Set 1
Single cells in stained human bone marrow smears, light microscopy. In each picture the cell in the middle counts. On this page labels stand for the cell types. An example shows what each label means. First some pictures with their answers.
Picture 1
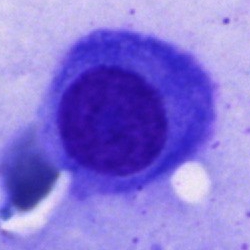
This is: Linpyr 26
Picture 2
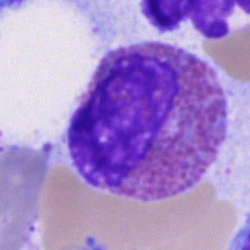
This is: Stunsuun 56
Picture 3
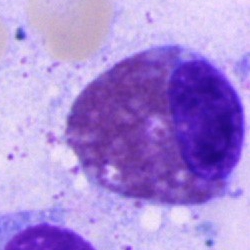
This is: Stunsuun 56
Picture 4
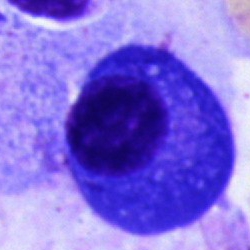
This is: Linpyr 26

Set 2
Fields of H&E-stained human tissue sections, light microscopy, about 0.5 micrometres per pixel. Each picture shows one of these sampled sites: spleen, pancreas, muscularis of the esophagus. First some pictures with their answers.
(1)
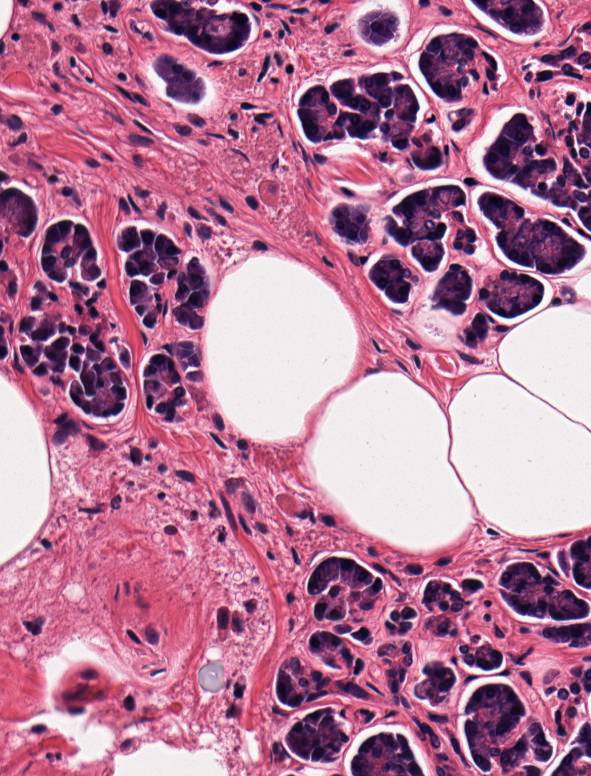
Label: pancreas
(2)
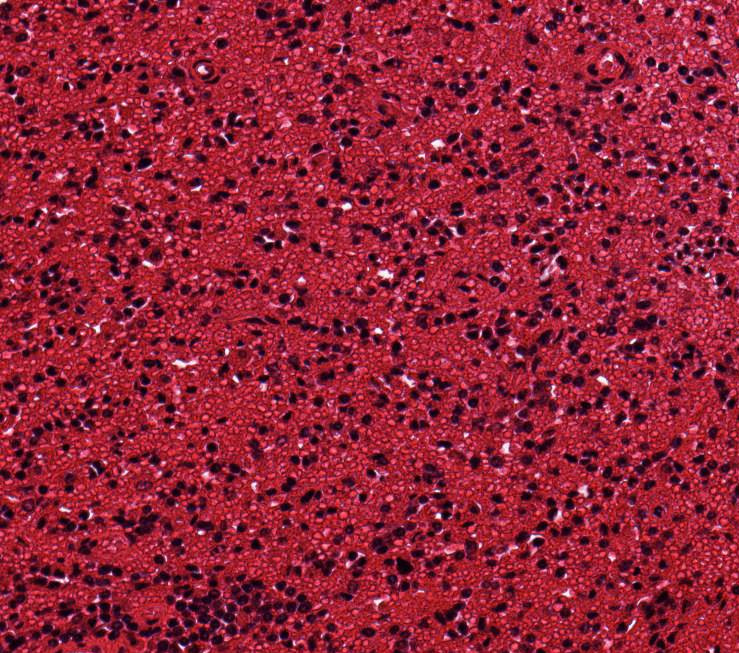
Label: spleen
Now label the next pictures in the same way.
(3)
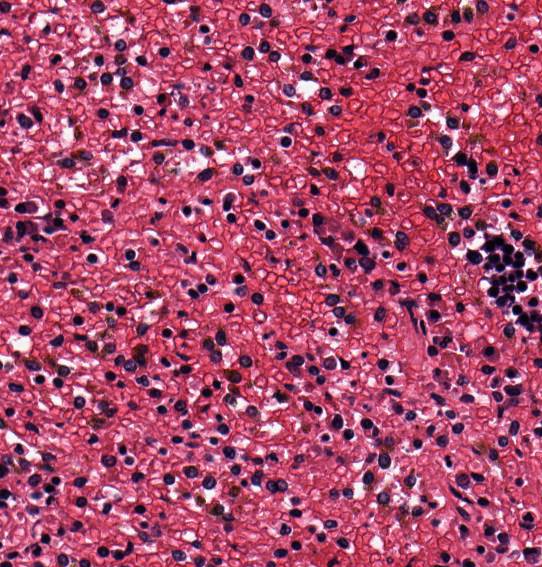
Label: spleen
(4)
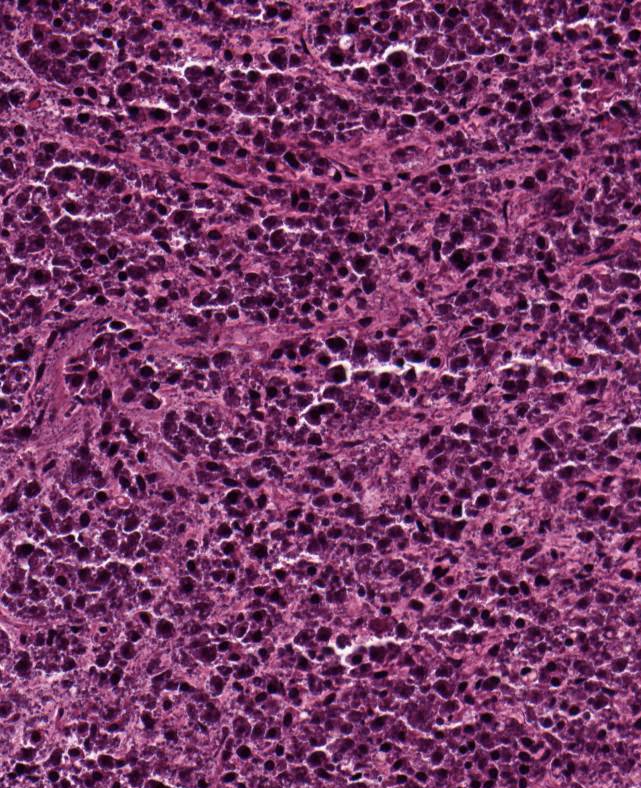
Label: pancreas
